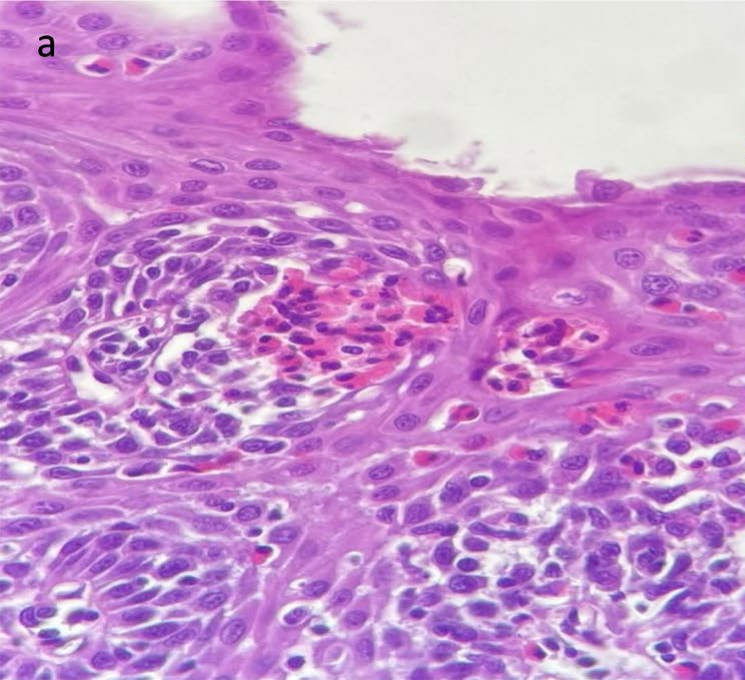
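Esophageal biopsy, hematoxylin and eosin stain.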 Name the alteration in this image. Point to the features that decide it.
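A tight cluster of cells with bright red-pink granular cytoplasm lies within the squamous epithelium. Scattered single cells with bright pink cytoplasm lie between the epithelial cells around the cluster. The answer: eosinophilic micro abscess.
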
